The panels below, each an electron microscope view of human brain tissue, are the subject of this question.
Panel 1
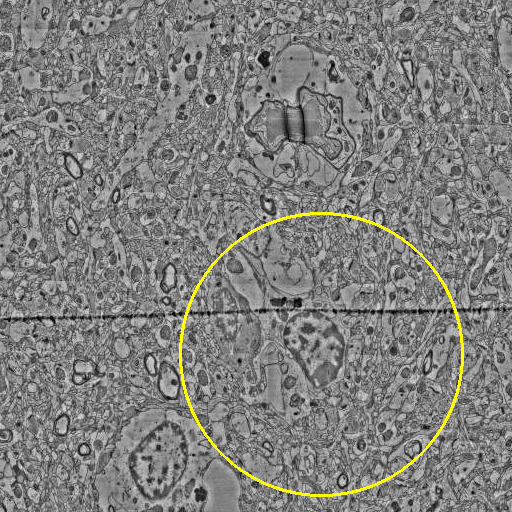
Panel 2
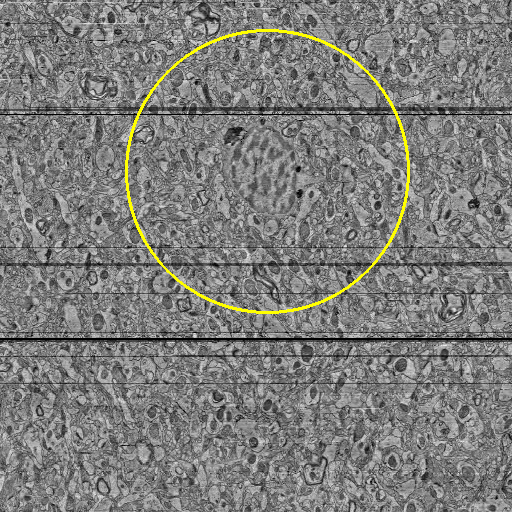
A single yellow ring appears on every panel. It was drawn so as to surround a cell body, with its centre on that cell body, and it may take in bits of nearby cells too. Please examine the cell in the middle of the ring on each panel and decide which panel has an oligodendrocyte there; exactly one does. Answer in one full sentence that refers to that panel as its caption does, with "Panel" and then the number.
Panel 2 is where the ring's central cell answers the question.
